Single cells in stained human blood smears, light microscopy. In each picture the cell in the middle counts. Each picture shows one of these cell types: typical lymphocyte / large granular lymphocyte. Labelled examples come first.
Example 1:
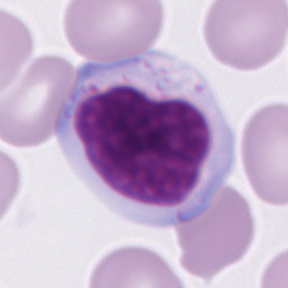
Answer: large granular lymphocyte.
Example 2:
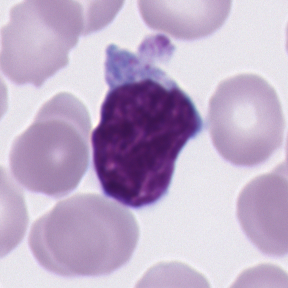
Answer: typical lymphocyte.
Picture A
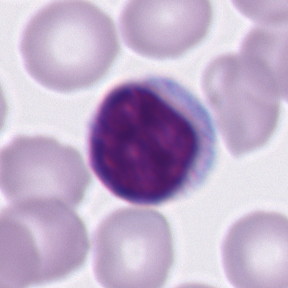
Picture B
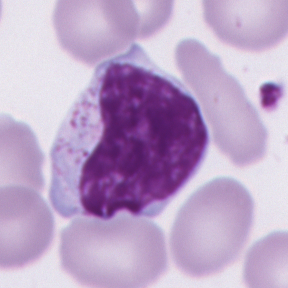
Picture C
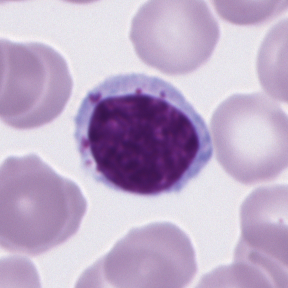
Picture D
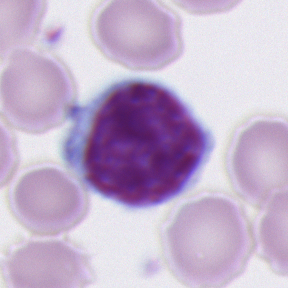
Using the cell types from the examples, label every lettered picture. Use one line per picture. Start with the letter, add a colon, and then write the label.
A: typical lymphocyte.
B: large granular lymphocyte.
C: large granular lymphocyte.
D: typical lymphocyte.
